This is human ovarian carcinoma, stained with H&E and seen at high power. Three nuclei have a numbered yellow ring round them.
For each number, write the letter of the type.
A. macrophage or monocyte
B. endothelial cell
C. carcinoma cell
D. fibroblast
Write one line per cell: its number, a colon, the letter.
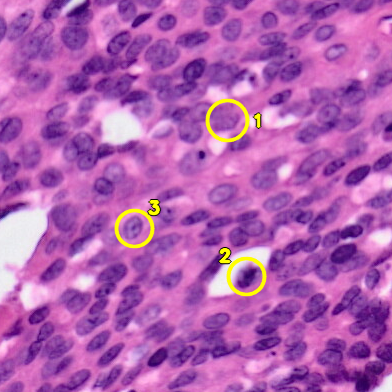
1: C
2: C
3: A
